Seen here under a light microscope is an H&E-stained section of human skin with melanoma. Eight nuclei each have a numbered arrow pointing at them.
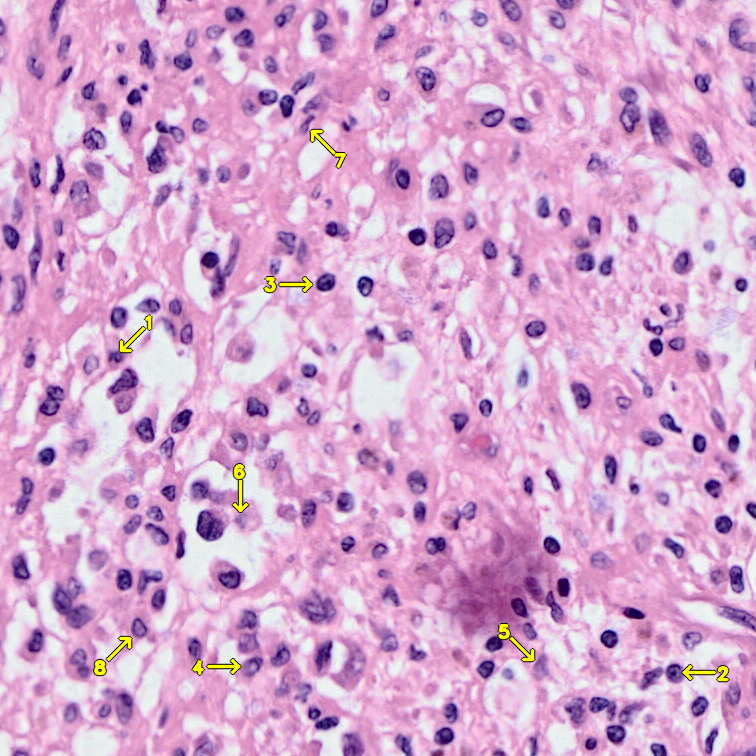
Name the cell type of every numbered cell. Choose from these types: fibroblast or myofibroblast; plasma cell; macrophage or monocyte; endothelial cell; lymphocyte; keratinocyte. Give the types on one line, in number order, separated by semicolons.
macrophage or monocyte; lymphocyte; lymphocyte; macrophage or monocyte; macrophage or monocyte; macrophage or monocyte; fibroblast or myofibroblast; macrophage or monocyte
